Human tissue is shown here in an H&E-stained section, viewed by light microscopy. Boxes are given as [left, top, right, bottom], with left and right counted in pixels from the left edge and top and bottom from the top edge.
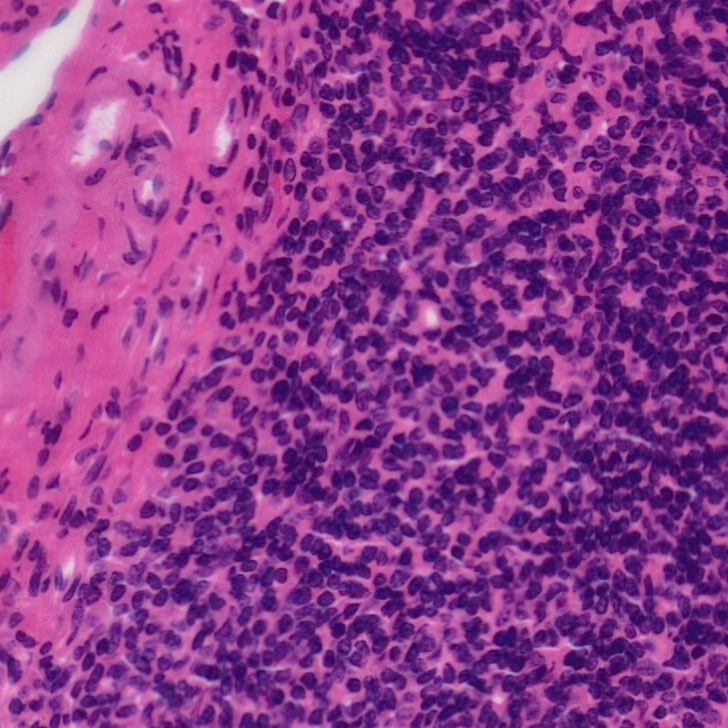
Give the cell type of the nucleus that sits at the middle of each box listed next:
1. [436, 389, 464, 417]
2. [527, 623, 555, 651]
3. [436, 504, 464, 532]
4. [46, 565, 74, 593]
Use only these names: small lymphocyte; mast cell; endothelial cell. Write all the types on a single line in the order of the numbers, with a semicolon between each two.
small lymphocyte; small lymphocyte; small lymphocyte; endothelial cell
